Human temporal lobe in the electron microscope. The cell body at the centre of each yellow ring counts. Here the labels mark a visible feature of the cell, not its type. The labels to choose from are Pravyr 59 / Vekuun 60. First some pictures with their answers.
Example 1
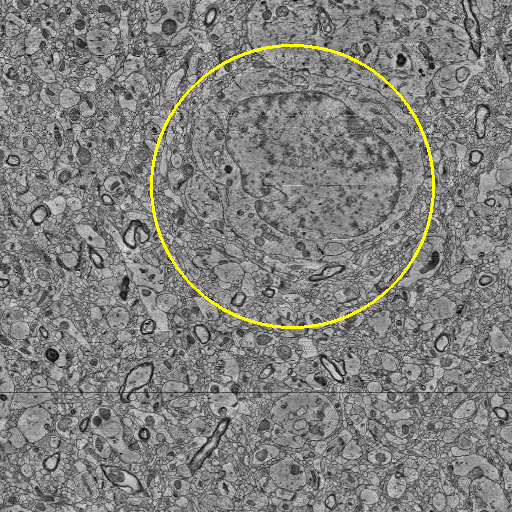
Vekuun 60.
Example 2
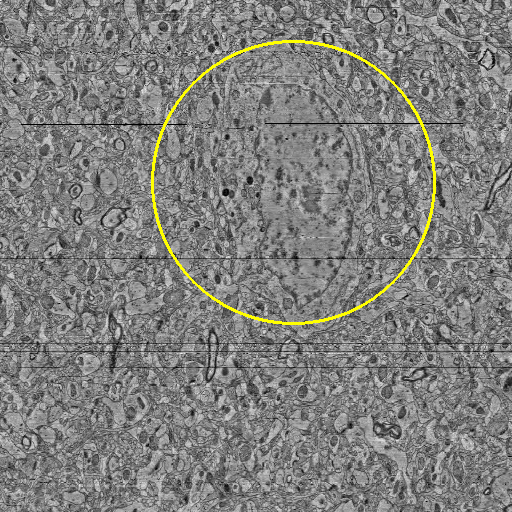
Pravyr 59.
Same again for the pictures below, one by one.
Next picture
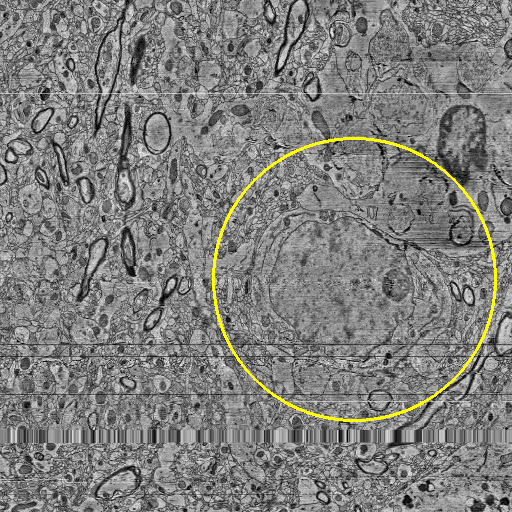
Pravyr 59.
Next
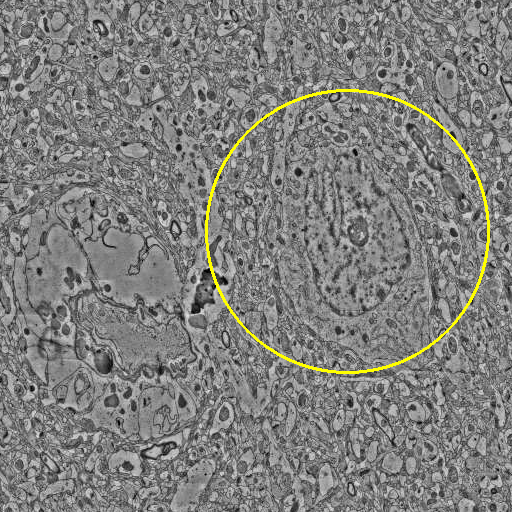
Vekuun 60.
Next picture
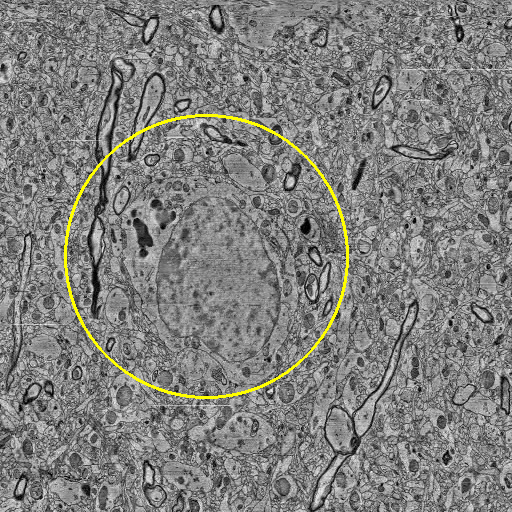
Pravyr 59.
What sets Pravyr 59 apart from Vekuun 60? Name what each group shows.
Pravyr 59, smooth nuclear envelopes without deep folds; Vekuun 60, deeply folded or indented nuclear envelopes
